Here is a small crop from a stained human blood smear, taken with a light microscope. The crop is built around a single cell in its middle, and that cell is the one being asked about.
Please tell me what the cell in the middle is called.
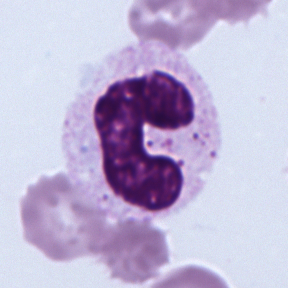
band neutrophil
